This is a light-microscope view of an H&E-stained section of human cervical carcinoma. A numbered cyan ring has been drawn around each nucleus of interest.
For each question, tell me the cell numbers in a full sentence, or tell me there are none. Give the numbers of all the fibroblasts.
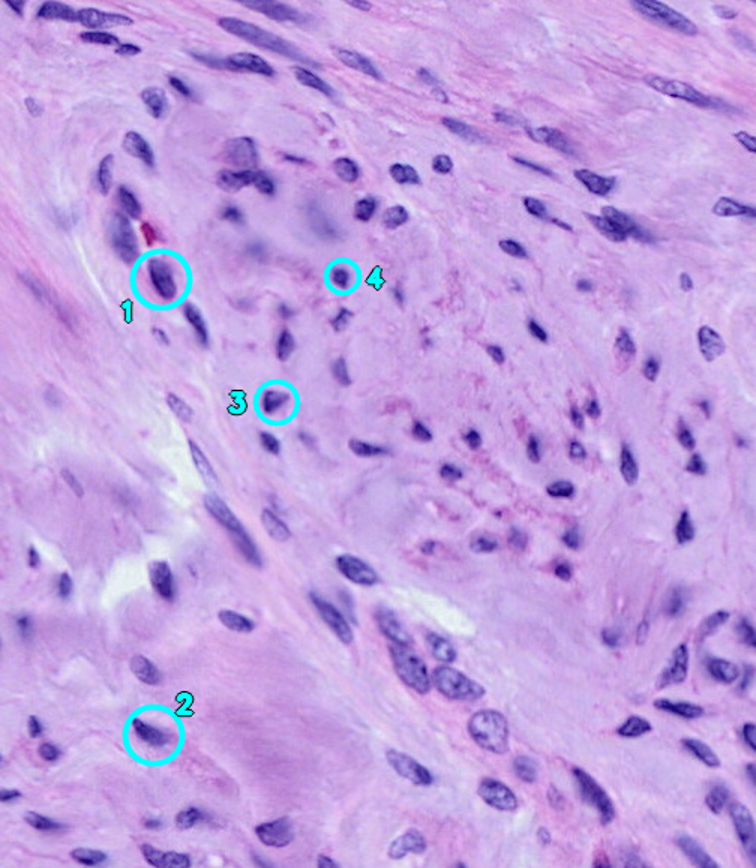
Identification: the cells with numbers 2, 3 and 4 are fibroblasts.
